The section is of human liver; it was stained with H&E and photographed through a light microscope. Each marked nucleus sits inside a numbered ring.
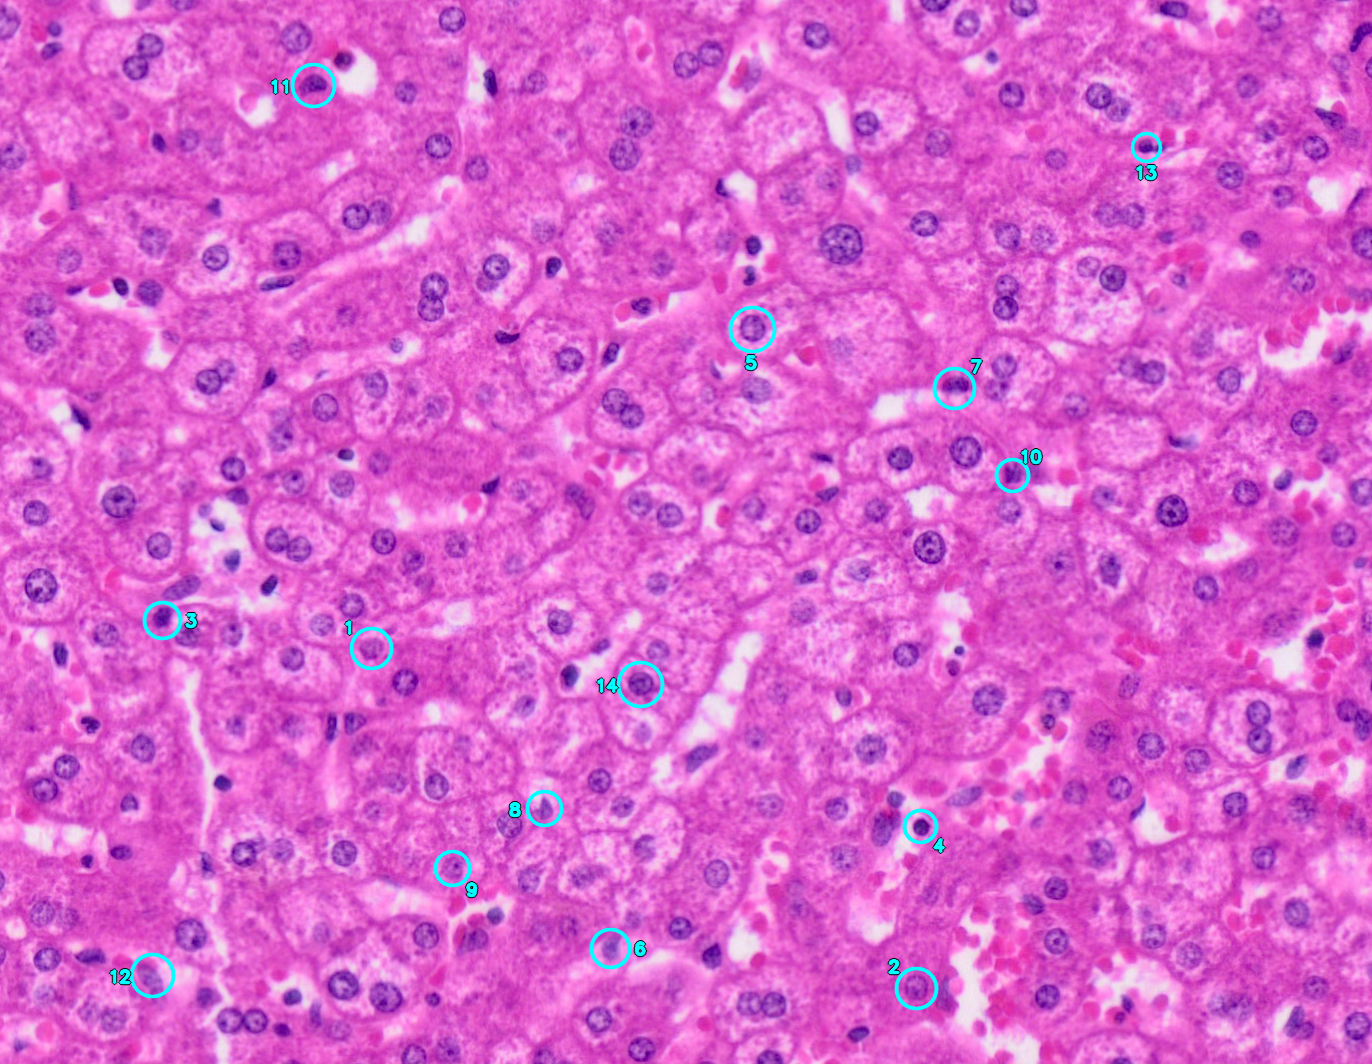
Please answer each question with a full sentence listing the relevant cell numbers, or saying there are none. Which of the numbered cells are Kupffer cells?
Only the cell at mark 12 is a Kupffer cell, and no other marked cell is.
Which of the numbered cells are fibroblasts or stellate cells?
The cells to which the numbers 3, 10 and 11 refer are fibroblasts or stellate cells.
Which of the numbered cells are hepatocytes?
The cells tagged with numbers 1, 2, 5, 9 and 14 are hepatocytes.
